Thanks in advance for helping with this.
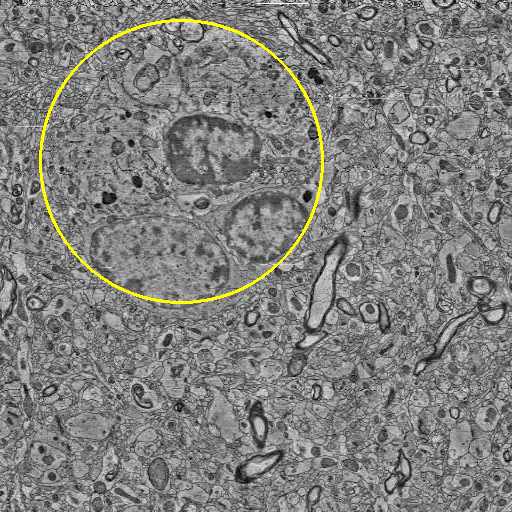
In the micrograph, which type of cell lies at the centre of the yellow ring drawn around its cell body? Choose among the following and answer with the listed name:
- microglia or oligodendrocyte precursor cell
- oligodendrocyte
microglia or oligodendrocyte precursor cell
